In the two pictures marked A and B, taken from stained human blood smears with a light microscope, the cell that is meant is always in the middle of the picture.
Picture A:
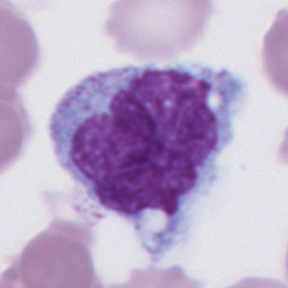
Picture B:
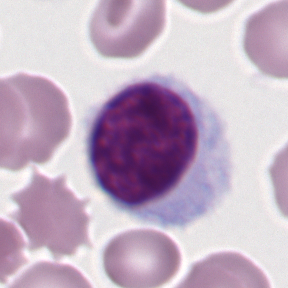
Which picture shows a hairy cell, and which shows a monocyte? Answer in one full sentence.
Picture A shows a monocyte and picture B shows a hairy cell.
